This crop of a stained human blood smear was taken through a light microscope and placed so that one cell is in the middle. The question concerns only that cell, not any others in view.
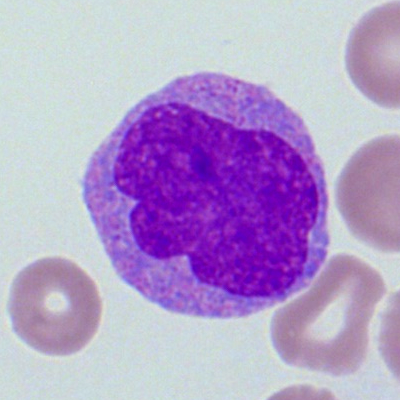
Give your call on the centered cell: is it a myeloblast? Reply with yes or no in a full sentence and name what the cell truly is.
Yes, the cell in the middle of this smear crop is a myeloblast.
